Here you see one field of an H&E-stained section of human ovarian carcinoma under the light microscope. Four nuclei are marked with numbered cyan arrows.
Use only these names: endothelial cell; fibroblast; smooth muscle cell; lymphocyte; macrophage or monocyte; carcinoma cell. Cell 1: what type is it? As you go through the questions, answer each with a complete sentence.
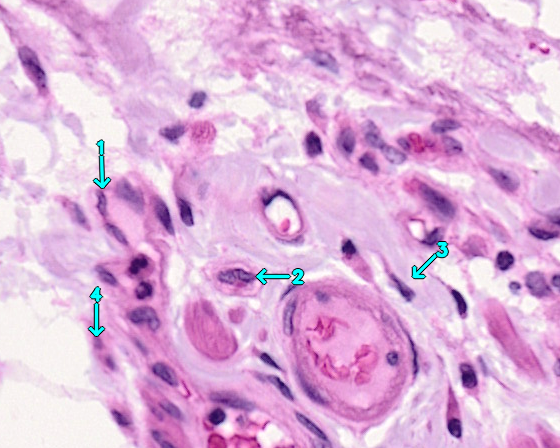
The one labeled 1 is an endothelial cell, to put it simply.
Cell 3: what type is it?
The nucleus marked 3 is the nucleus of a fibroblast.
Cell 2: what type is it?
Here the cell numbered 2 is an endothelial cell.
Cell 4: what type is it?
That cell with number 4 is an endothelial cell.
